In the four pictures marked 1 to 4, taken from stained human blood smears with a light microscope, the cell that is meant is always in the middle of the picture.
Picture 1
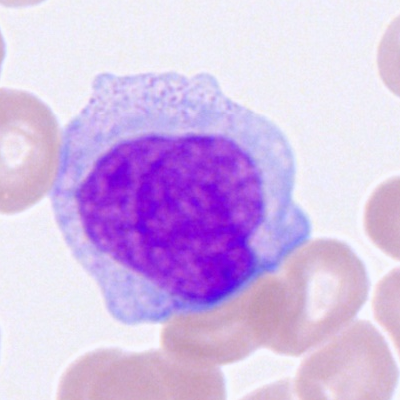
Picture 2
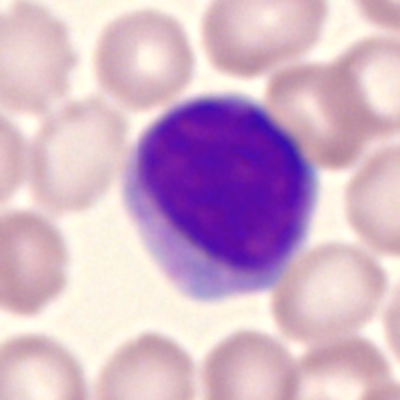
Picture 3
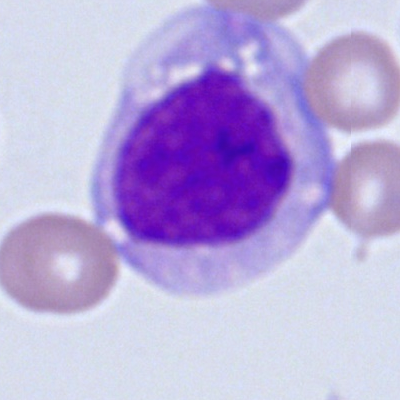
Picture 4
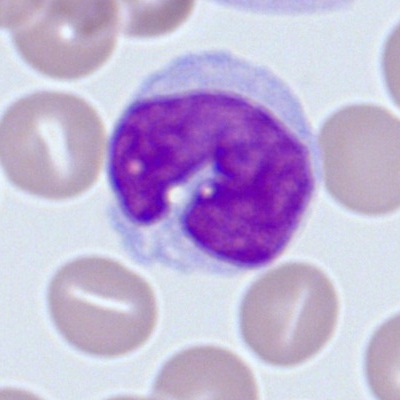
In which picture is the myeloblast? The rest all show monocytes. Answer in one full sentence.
The cell in picture 2 is the myeloblast.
